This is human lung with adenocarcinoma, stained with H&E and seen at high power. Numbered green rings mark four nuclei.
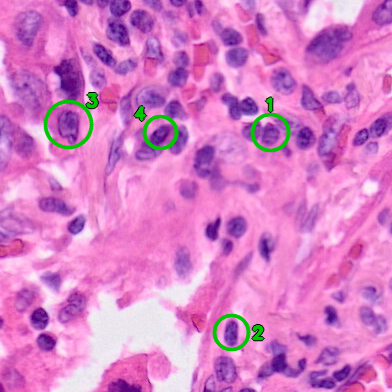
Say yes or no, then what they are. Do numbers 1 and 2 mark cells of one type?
Yes, both are lymphocytes.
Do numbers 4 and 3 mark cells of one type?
No, cell 4 is a plasma cell and cell 3 is a carcinoma cell.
